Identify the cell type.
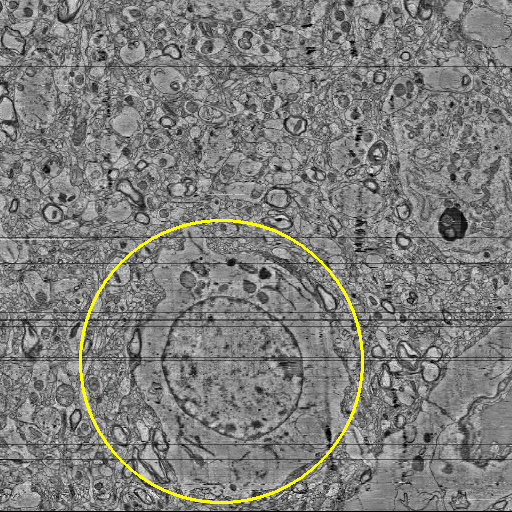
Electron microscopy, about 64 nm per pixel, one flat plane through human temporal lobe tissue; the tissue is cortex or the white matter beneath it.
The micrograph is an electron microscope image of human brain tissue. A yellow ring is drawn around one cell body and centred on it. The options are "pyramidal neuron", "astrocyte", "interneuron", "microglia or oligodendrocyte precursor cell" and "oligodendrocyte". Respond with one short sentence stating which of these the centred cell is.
The cell body in the ring belongs to an astrocyte.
